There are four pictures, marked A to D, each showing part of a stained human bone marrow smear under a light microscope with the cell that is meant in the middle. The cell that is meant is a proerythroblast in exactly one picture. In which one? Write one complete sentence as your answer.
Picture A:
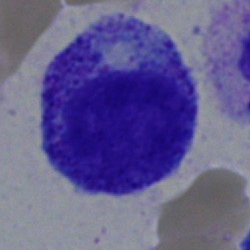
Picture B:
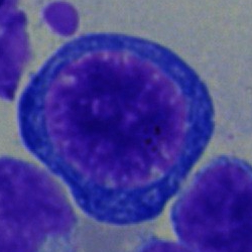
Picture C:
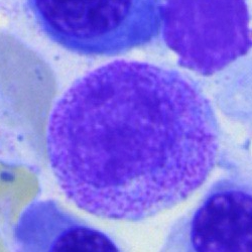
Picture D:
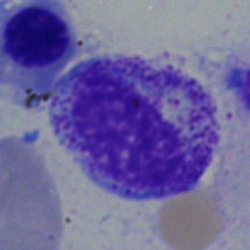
The cell in picture B is the proerythroblast.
